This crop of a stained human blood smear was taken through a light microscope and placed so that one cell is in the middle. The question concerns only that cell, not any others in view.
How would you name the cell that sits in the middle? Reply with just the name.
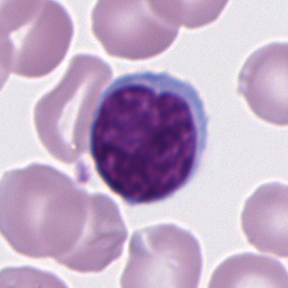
typical lymphocyte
